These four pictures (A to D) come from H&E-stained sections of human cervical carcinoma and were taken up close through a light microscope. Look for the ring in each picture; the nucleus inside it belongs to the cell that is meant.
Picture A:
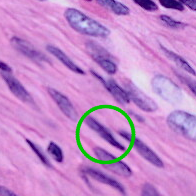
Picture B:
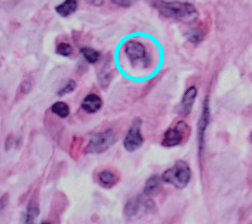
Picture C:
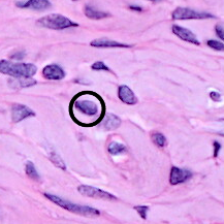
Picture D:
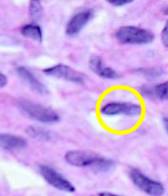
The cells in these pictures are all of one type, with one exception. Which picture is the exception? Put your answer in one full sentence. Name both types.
The different one is picture B; it shows a “macrophage or monocyte”, whereas all the others show fibroblasts.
